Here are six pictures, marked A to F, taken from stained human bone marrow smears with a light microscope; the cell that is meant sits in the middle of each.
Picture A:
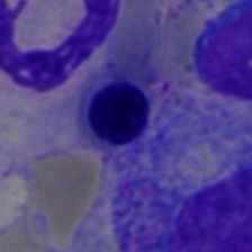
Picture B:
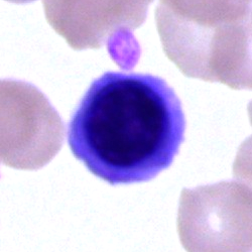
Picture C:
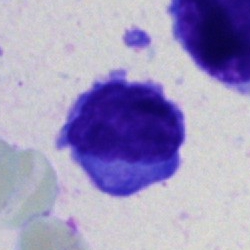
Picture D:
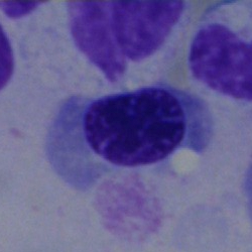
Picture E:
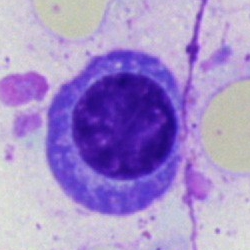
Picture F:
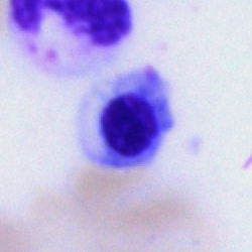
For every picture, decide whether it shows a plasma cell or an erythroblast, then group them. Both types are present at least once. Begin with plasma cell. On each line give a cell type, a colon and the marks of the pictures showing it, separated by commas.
plasma cell: C, E
erythroblast: A, B, D, F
